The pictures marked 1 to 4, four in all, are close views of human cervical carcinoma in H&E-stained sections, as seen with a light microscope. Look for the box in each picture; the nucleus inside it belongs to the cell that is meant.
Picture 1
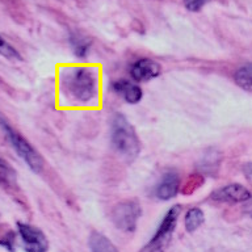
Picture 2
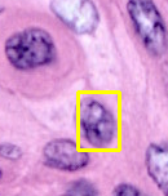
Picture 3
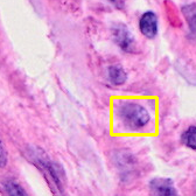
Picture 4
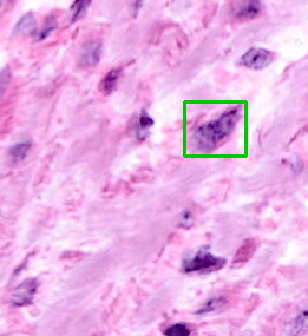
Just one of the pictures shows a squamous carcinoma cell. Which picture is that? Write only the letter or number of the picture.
2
